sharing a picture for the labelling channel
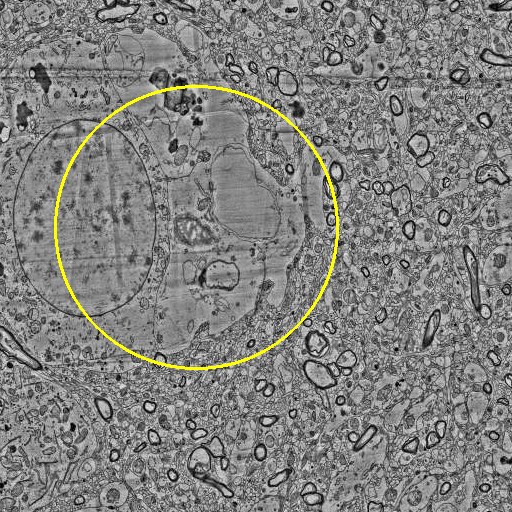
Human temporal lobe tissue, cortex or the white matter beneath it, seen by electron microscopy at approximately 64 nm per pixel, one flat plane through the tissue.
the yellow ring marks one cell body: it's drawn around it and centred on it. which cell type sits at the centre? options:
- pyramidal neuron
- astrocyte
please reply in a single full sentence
In the picture, the cell at the ring's centre is an astrocyte, going by the list.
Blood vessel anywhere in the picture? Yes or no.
Yes, a blood vessel can be seen.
